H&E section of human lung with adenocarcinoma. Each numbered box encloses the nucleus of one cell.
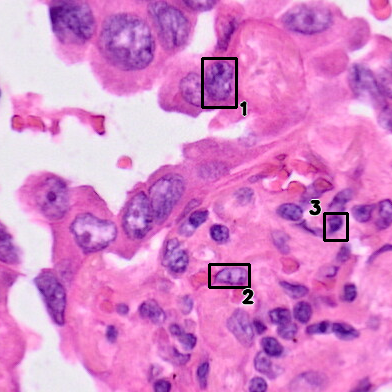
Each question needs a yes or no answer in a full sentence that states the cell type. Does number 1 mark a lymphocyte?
No, it is a carcinoma cell, not a lymphocyte, that number 1 marks.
